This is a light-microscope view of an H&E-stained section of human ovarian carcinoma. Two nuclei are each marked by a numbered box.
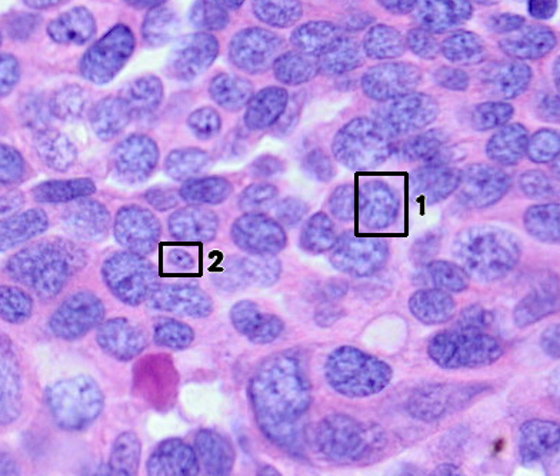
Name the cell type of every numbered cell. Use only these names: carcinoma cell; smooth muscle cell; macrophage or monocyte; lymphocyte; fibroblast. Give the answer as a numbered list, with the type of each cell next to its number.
1. carcinoma cell
2. macrophage or monocyte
